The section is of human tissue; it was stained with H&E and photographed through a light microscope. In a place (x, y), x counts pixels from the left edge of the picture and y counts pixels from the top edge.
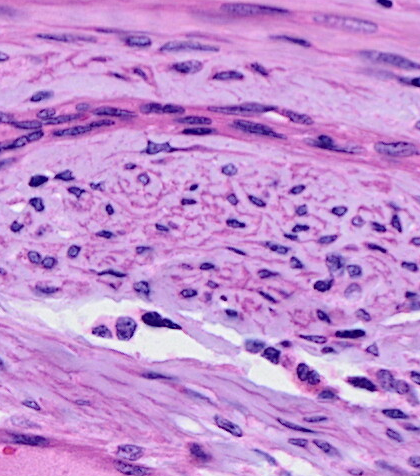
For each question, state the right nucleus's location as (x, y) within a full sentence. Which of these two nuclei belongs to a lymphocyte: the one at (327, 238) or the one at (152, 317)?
The pair contains one nucleus of a lymphocyte, namely the one at (152, 317).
